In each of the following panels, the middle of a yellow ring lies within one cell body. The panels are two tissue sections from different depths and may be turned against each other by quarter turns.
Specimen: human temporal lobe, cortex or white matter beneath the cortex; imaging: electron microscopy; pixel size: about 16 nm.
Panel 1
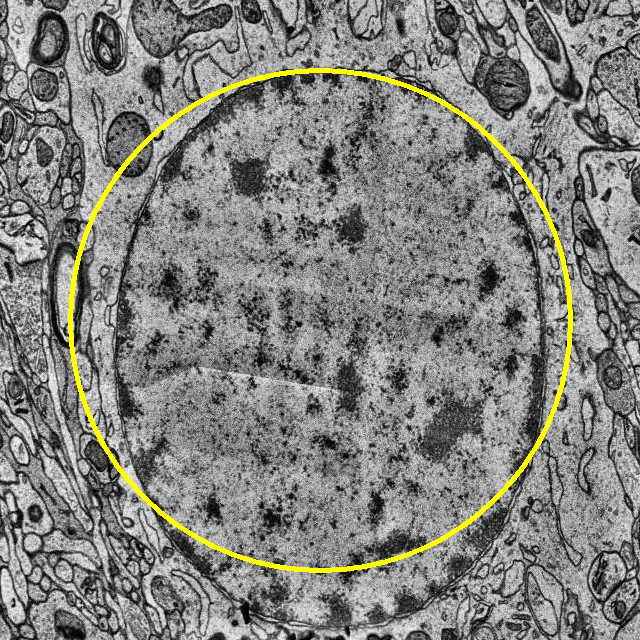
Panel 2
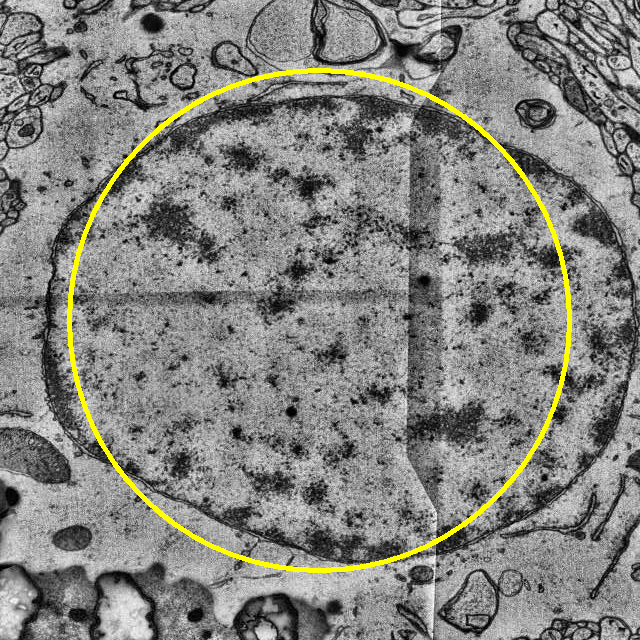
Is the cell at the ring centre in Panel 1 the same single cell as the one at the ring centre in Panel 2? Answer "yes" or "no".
no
